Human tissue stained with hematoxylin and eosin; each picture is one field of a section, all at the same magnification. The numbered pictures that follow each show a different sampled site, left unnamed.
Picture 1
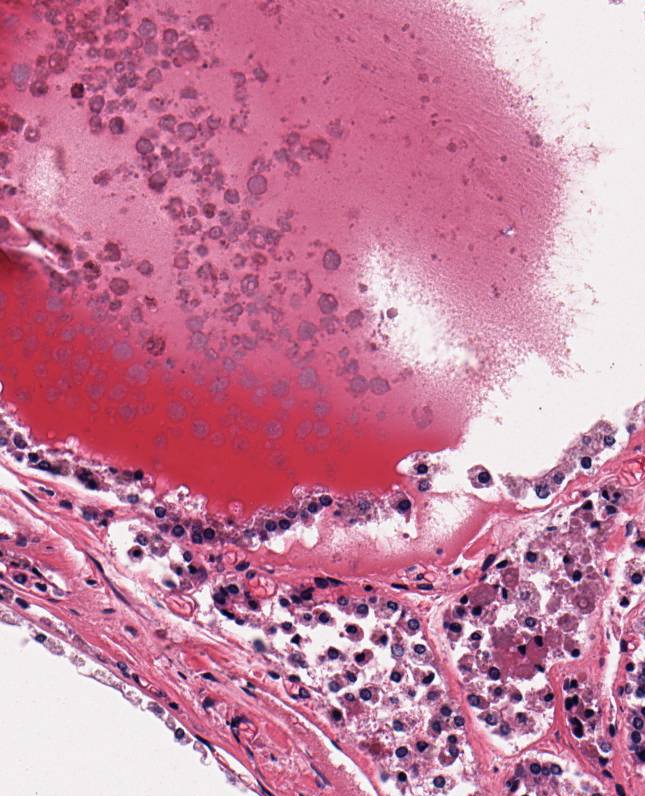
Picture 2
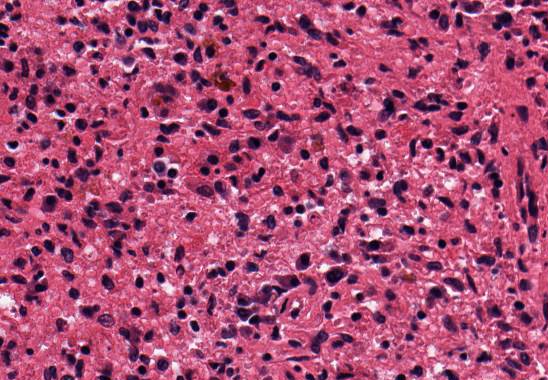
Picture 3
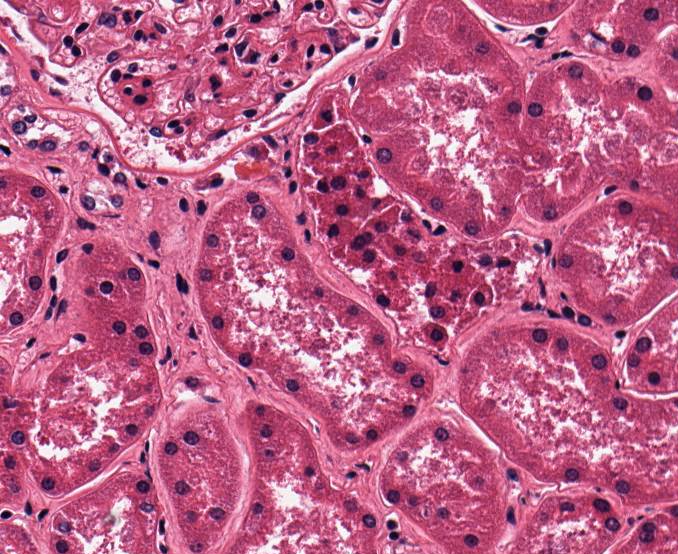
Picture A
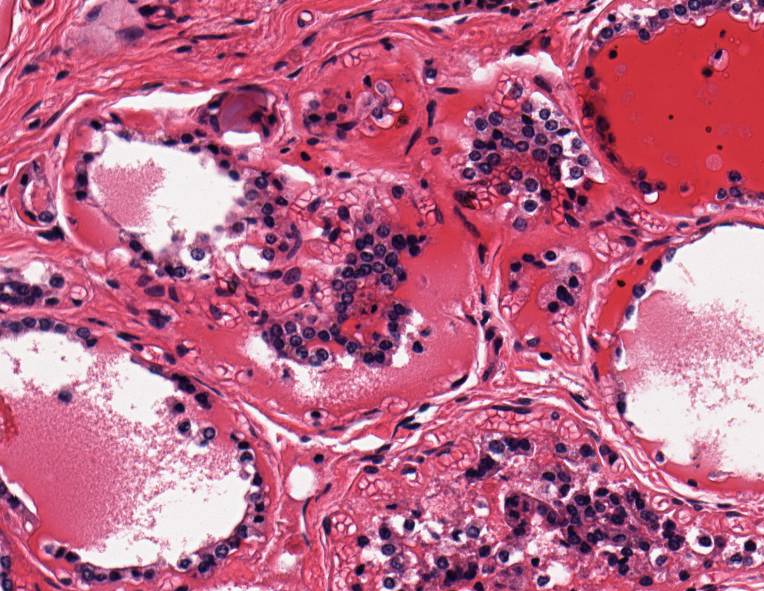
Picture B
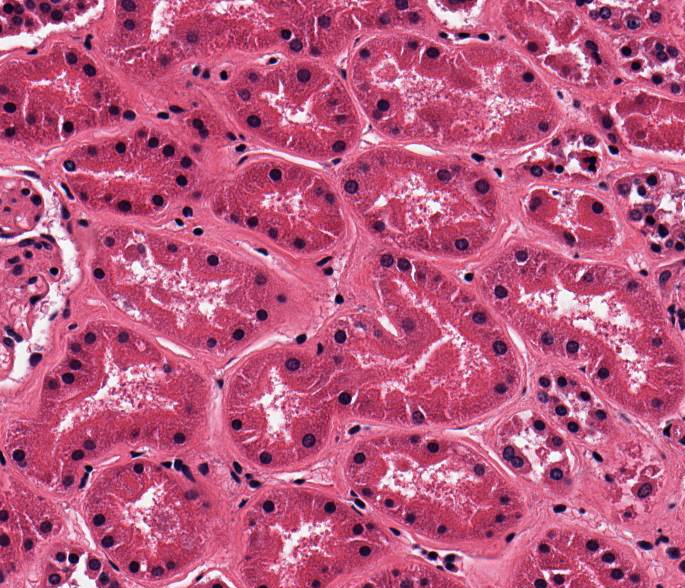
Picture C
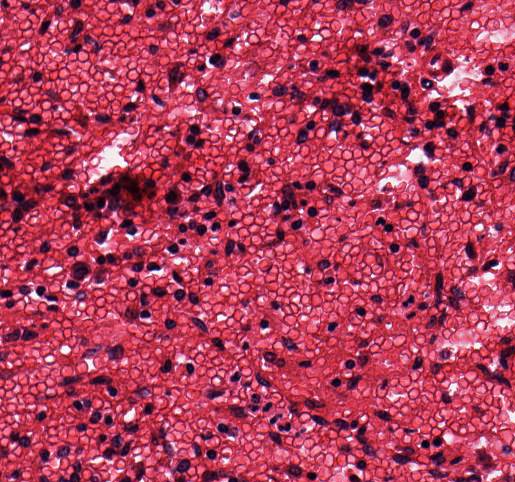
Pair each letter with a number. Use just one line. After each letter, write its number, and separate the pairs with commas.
A 1, B 3, C 2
